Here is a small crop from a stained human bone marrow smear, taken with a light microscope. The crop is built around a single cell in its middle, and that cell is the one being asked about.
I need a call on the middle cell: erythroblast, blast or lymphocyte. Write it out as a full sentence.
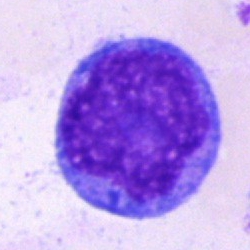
The cell around which this crop is centred is a blast.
